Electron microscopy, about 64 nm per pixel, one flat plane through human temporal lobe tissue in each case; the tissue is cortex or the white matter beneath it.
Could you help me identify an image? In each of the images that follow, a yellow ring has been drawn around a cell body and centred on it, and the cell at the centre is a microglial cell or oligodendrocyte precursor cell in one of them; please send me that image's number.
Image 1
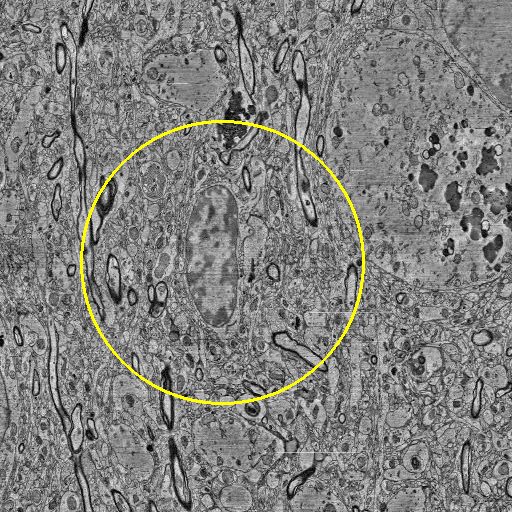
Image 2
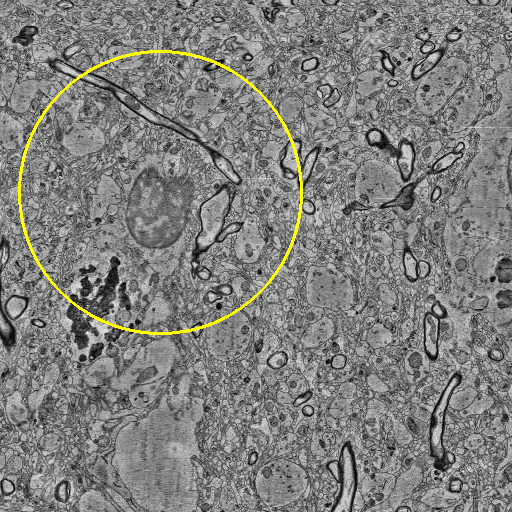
1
